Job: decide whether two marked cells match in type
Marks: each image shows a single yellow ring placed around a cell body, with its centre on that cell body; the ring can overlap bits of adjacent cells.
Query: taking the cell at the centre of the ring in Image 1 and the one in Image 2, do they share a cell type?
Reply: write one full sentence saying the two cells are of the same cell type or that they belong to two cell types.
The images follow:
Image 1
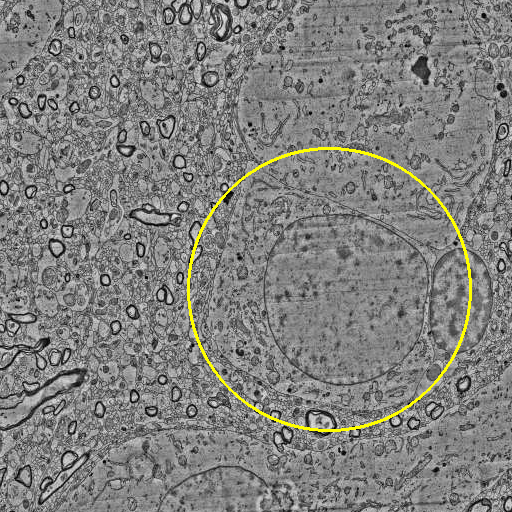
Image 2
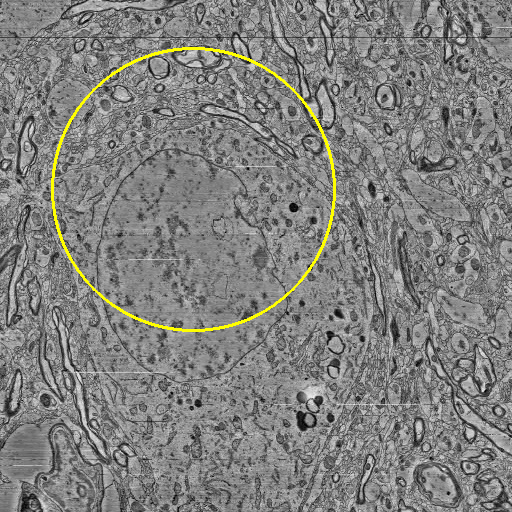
The cells at the ring centres in Image 1 and Image 2 are of the same cell type.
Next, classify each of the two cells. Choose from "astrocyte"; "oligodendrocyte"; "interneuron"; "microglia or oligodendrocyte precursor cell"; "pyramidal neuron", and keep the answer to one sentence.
The first and the second cell are each a pyramidal neuron.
